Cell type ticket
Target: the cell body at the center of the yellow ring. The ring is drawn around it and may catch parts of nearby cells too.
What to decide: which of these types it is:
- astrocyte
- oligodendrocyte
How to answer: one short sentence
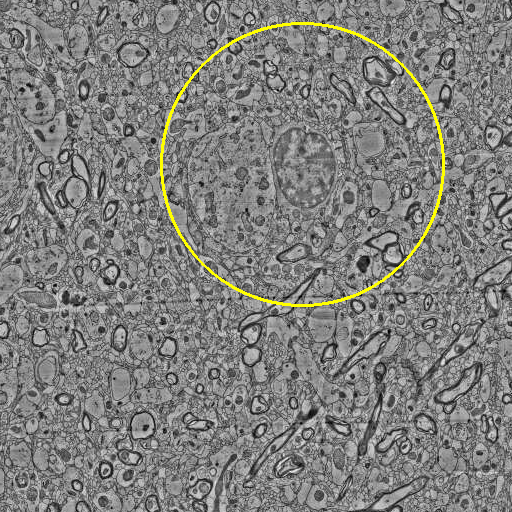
The cell at the center of the ring is an oligodendrocyte.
